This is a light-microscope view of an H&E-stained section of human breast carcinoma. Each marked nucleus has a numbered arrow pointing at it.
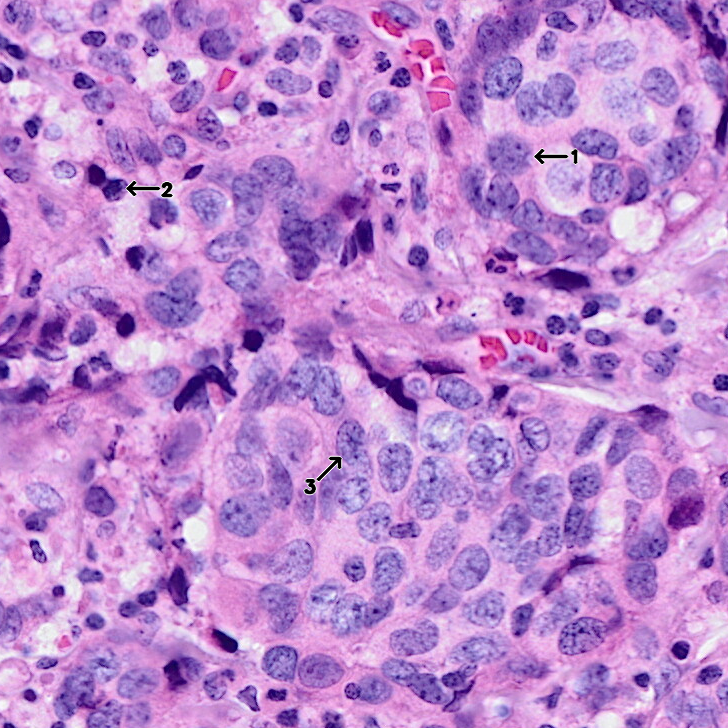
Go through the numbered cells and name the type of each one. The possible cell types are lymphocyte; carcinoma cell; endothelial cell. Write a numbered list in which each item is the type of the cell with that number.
1. carcinoma cell
2. lymphocyte
3. carcinoma cell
